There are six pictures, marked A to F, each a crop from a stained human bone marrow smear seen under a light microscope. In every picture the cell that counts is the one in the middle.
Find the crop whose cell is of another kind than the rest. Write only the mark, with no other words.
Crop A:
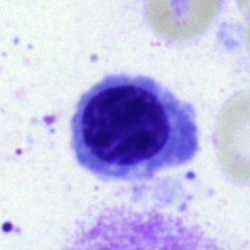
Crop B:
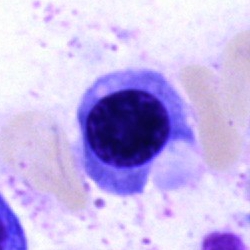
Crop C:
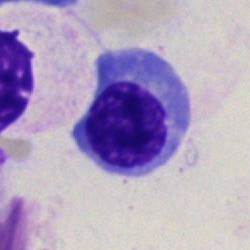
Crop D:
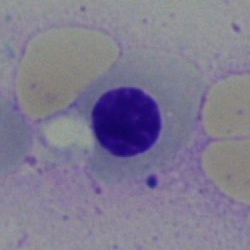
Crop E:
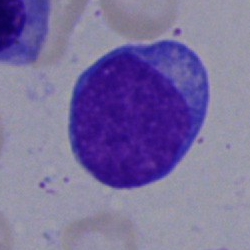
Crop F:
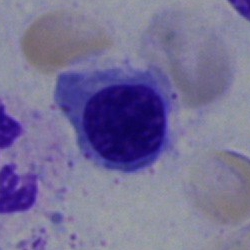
E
